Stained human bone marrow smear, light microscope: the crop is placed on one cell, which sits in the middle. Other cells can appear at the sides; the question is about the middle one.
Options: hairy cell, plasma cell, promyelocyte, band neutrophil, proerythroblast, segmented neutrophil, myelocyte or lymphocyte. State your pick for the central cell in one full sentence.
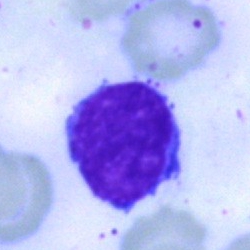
Framed in the middle of the crop is a lymphocyte.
